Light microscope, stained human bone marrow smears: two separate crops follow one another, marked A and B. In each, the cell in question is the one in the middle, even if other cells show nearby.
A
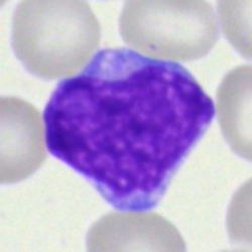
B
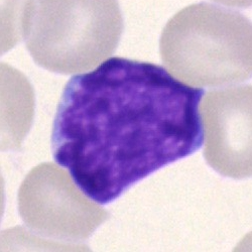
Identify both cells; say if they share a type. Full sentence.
Yes, the cells placed at the centre of both crops are blasts.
